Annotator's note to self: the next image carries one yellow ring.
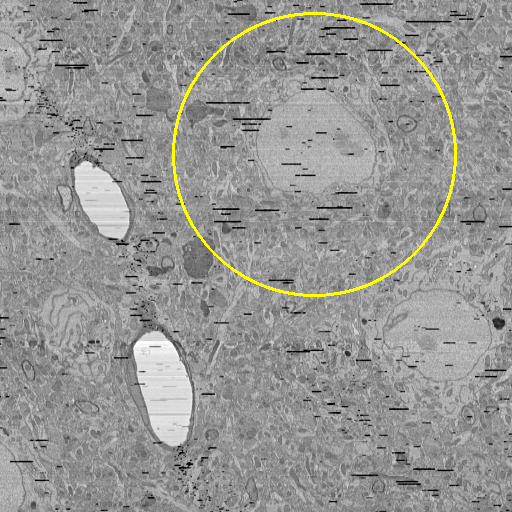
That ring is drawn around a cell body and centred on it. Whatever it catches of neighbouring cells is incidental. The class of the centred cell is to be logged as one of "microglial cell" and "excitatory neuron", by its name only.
excitatory neuron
